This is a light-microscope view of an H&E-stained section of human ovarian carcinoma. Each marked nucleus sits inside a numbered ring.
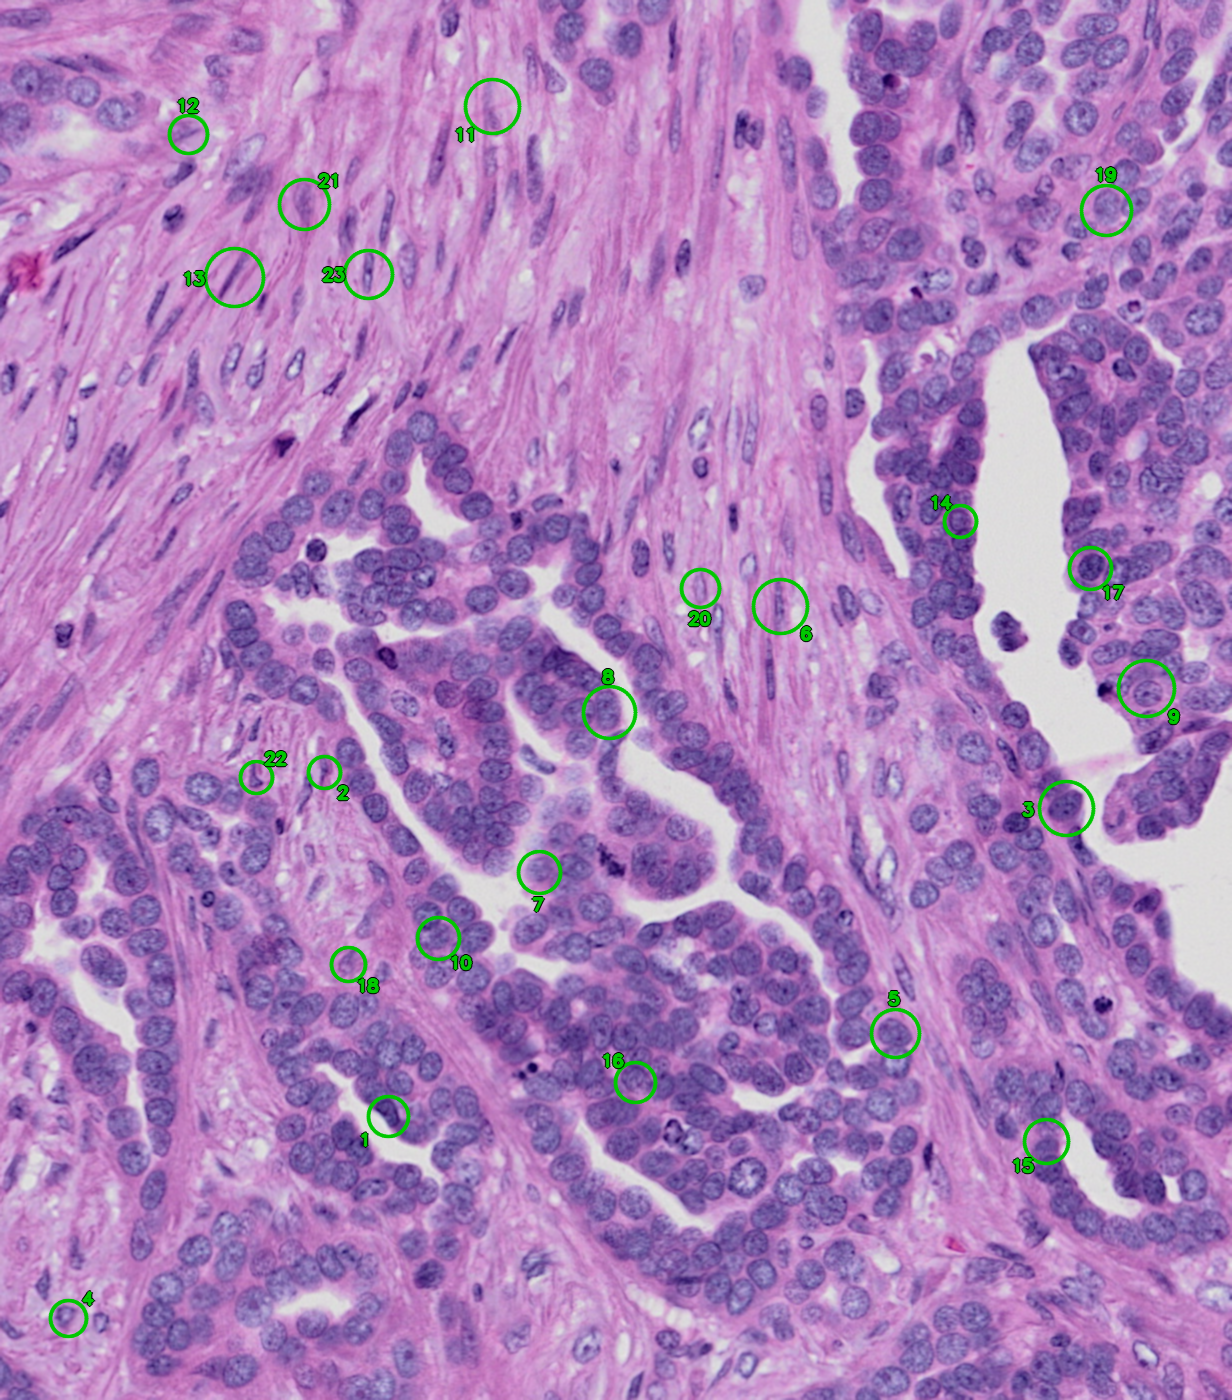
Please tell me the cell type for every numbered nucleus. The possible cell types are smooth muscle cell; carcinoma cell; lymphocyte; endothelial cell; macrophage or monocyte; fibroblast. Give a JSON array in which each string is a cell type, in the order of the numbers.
["carcinoma cell", "fibroblast", "carcinoma cell", "fibroblast", "carcinoma cell", "fibroblast", "carcinoma cell", "carcinoma cell", "carcinoma cell", "carcinoma cell", "fibroblast", "fibroblast", "fibroblast", "carcinoma cell", "carcinoma cell", "carcinoma cell", "carcinoma cell", "fibroblast", "carcinoma cell", "fibroblast", "fibroblast", "fibroblast", "fibroblast"]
